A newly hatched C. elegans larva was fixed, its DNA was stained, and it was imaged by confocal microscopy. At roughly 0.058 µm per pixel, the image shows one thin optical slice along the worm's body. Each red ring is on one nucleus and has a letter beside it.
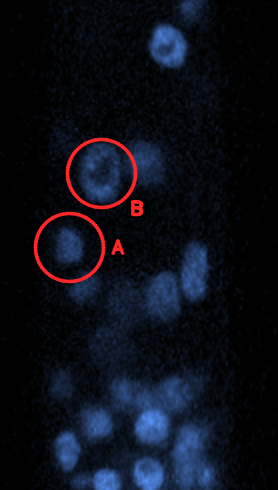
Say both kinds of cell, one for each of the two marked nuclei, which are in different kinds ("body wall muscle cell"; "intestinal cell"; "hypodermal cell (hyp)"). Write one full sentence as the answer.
One is from a body wall muscle cell, namely A, and the other, B, is from a hypodermal cell (hyp).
